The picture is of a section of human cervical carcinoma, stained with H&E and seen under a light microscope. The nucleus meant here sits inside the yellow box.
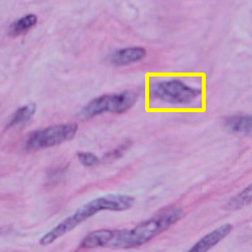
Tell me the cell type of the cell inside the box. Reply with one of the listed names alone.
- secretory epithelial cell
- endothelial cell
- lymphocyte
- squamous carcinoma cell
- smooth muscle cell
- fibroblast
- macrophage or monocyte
fibroblast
